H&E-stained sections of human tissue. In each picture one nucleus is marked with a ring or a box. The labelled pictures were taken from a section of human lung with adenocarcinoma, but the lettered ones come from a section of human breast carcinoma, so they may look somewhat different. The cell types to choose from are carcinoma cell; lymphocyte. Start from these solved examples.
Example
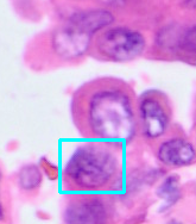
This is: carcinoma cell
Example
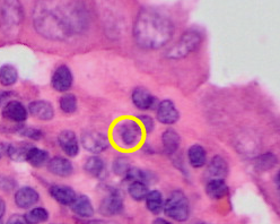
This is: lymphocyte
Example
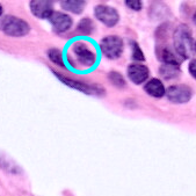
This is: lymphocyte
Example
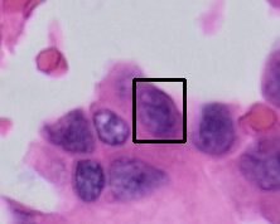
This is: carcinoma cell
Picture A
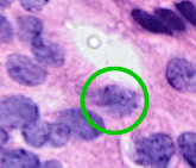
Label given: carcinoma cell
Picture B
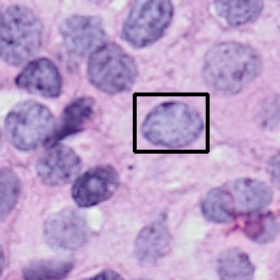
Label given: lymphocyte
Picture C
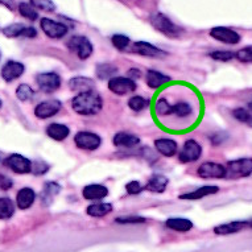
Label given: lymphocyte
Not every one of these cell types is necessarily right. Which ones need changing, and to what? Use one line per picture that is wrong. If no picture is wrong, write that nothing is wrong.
B: change lymphocyte to carcinoma cell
